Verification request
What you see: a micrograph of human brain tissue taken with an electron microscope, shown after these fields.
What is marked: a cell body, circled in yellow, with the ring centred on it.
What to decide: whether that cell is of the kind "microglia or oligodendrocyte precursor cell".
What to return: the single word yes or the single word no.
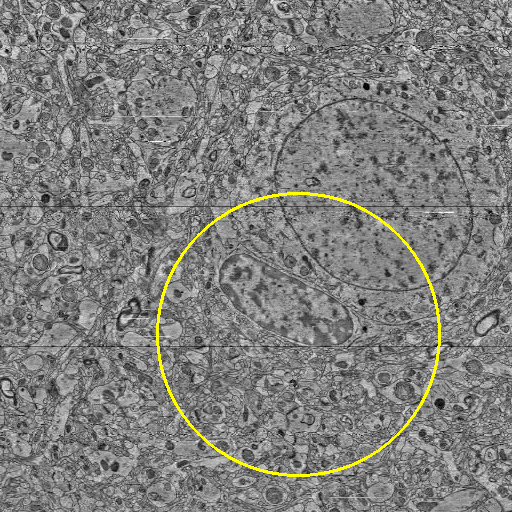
yes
